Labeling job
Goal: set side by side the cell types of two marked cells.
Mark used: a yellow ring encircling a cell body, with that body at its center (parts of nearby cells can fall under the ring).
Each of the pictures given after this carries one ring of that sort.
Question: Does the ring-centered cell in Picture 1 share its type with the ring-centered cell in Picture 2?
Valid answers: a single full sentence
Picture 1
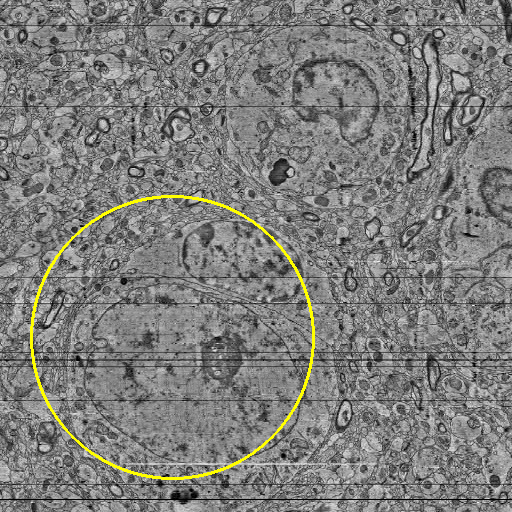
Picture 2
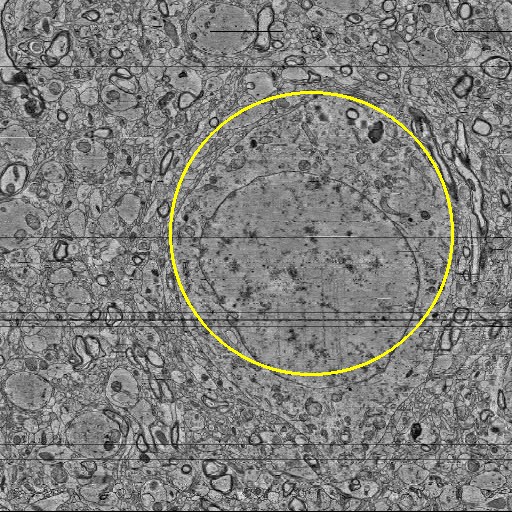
Yes, in Pictures 1 and 2 the cells at the ring centers share one type.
